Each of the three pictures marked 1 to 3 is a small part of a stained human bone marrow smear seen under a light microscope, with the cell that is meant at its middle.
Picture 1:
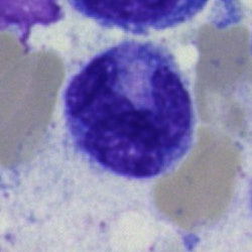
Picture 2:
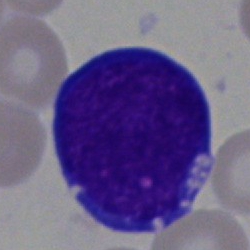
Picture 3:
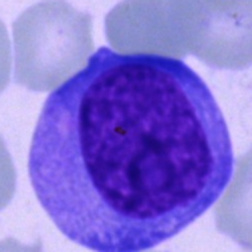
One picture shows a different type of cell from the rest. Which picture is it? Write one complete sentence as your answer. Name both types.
Picture 1 is the odd one out: it shows a monocyte, while the others show blasts.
